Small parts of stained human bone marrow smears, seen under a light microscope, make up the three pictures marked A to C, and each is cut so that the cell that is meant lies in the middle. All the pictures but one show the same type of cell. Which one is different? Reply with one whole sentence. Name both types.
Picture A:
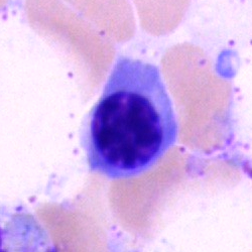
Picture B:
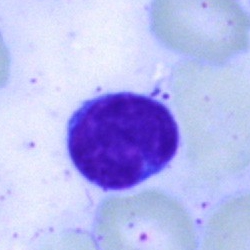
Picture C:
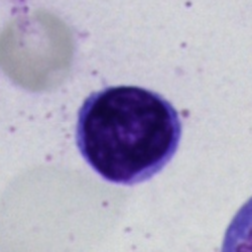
The others show lymphocytes, but picture A shows an erythroblast.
